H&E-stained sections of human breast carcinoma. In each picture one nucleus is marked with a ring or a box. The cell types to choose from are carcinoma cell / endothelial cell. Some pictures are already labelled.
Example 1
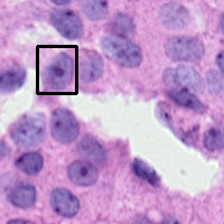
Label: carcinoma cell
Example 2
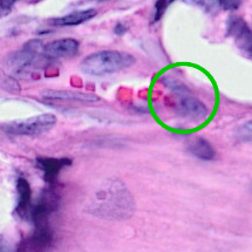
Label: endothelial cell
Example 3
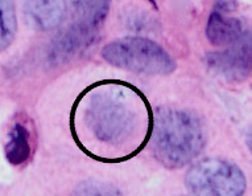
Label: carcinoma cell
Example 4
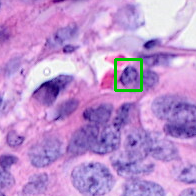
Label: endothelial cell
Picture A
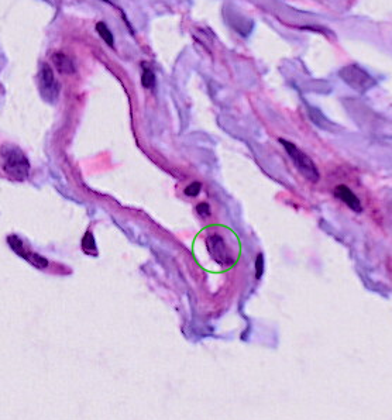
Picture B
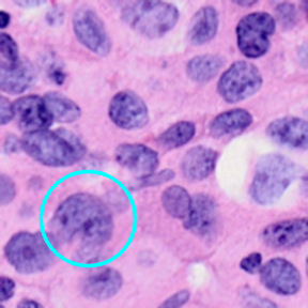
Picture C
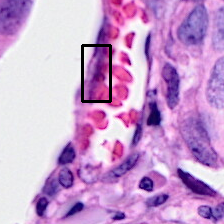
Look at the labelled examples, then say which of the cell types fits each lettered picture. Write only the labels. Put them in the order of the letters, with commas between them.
endothelial cell, carcinoma cell, endothelial cell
